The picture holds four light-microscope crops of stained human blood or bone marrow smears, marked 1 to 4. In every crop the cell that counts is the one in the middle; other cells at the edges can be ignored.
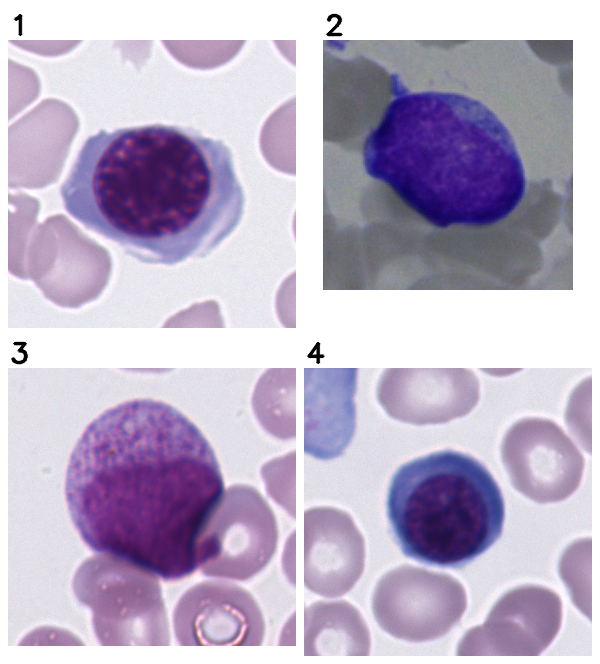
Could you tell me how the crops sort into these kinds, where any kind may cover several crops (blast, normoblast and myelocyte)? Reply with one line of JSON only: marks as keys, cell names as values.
{"1": "normoblast", "2": "blast", "3": "myelocyte", "4": "normoblast"}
